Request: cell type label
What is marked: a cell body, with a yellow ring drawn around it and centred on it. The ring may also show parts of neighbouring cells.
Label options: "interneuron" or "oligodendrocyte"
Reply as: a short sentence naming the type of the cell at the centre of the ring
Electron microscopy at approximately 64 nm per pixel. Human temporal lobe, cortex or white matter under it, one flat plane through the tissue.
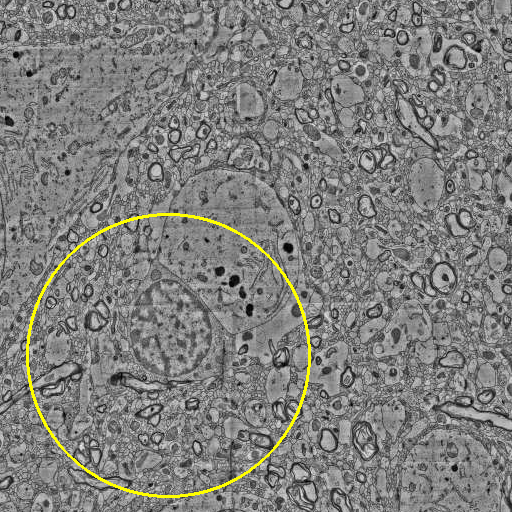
The marked cell body is that of an oligodendrocyte.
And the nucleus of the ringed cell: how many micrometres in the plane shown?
In this plane, roughly 6 by 5 micrometres.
